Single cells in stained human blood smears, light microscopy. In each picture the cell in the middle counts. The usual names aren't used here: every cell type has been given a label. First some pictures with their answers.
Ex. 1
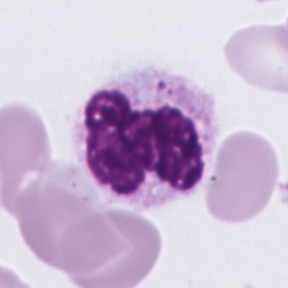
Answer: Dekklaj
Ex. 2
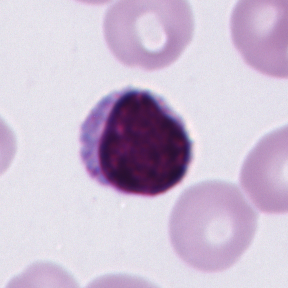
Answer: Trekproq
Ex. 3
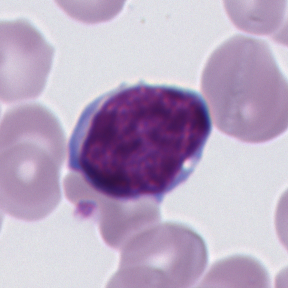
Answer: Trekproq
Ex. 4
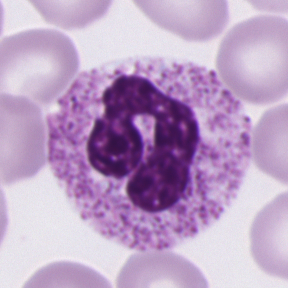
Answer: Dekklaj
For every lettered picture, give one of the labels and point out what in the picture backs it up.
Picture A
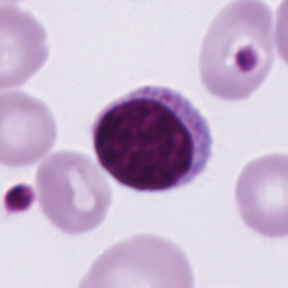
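Answer: Trekproq. The cytoplasm forms a narrow pale bluish-lilac crescent that is widest on the right side.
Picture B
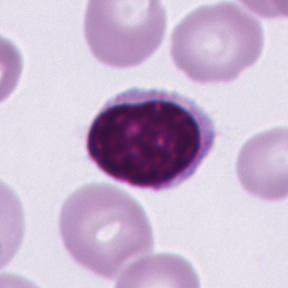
Answer: Trekproq. The cytoplasm forms only a narrow rim around the nucleus.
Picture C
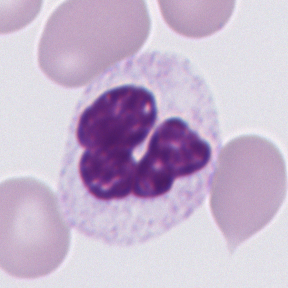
Answer: Dekklaj. A wide rim of pale pinkish-lilac cytoplasm surrounds the nucleus.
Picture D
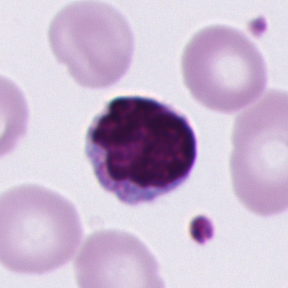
Answer: Trekproq. The cytoplasm forms a narrow rim that is widest at the lower left.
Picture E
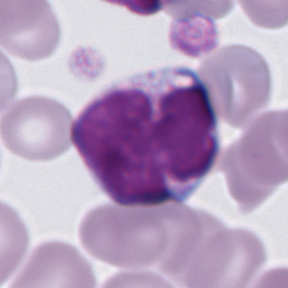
Answer: Trekproq. The cytoplasm forms only a thin rim that is widest at the top of the cell.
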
